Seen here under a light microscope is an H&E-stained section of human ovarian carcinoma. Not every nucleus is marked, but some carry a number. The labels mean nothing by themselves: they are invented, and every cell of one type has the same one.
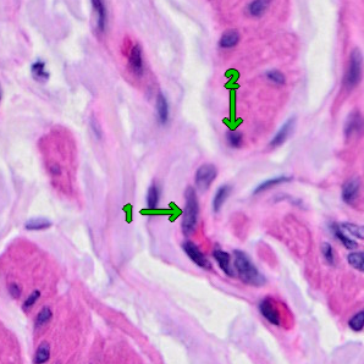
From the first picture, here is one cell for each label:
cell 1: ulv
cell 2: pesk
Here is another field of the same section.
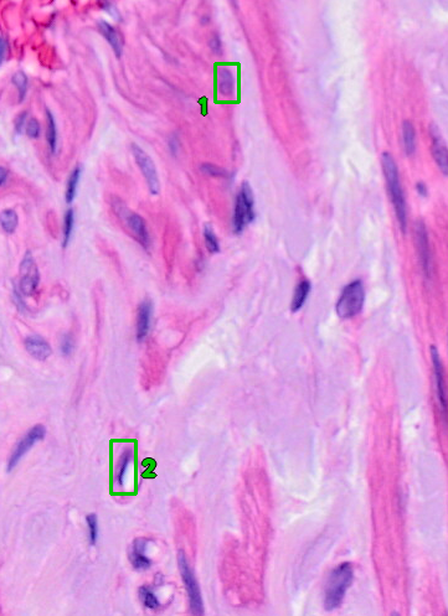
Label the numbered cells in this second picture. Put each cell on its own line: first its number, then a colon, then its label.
1: pesk
2: ulv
